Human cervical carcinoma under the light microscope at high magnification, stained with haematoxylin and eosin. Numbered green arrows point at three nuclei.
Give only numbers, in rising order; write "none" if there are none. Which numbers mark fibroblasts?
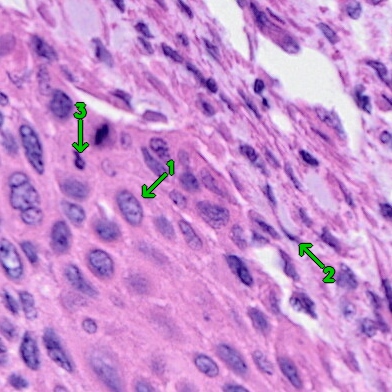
2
